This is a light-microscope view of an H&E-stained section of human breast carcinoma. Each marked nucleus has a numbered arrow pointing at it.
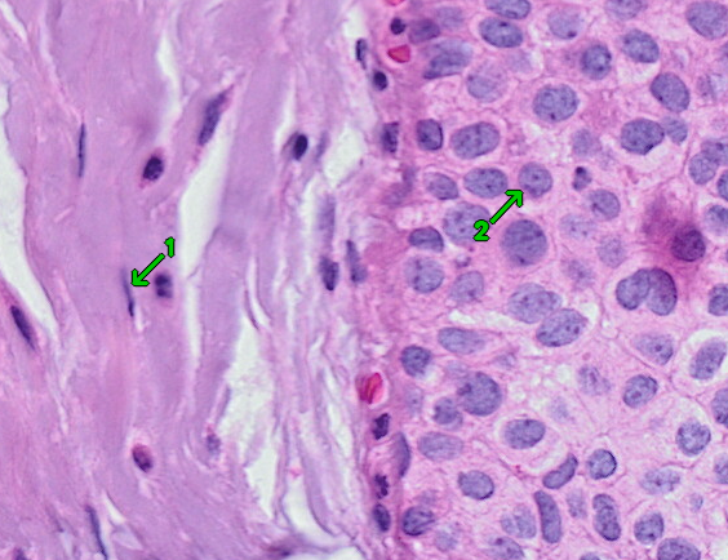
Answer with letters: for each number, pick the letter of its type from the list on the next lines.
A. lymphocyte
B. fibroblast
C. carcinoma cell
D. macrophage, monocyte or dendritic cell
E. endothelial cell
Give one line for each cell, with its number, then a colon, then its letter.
1: B
2: C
